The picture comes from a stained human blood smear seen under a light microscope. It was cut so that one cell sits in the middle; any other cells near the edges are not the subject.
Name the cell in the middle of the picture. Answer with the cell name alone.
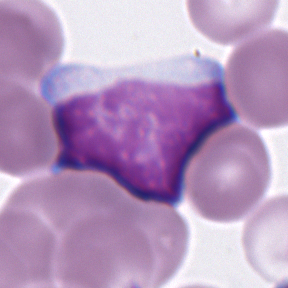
typical lymphocyte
